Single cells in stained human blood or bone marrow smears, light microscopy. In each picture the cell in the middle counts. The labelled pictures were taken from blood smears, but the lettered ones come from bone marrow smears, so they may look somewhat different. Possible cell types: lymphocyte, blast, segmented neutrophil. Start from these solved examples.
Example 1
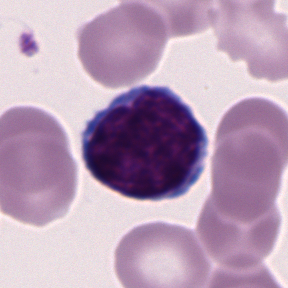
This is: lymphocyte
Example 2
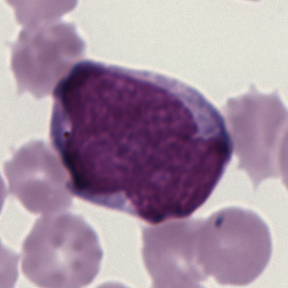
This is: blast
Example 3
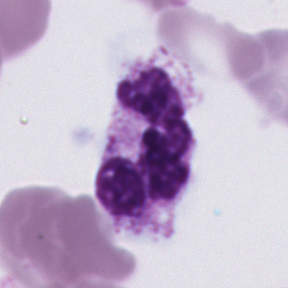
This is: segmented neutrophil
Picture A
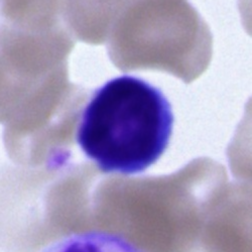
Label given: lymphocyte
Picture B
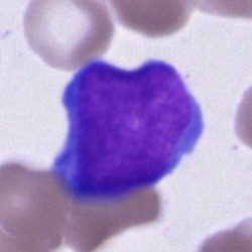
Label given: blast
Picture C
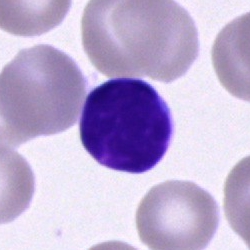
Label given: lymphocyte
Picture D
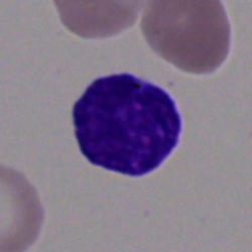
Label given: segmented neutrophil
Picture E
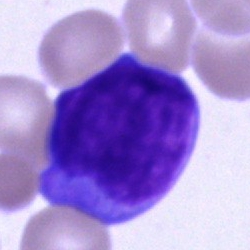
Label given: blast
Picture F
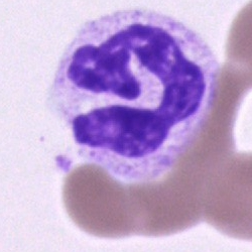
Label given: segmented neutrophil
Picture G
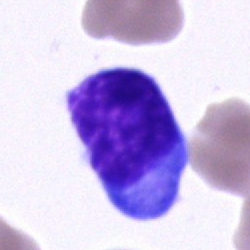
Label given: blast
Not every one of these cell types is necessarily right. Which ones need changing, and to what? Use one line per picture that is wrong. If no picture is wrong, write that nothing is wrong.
D: change segmented neutrophil to blast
